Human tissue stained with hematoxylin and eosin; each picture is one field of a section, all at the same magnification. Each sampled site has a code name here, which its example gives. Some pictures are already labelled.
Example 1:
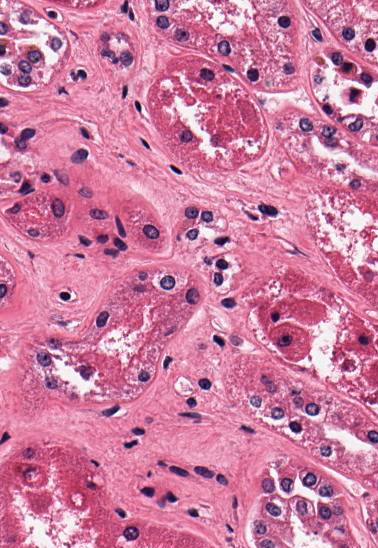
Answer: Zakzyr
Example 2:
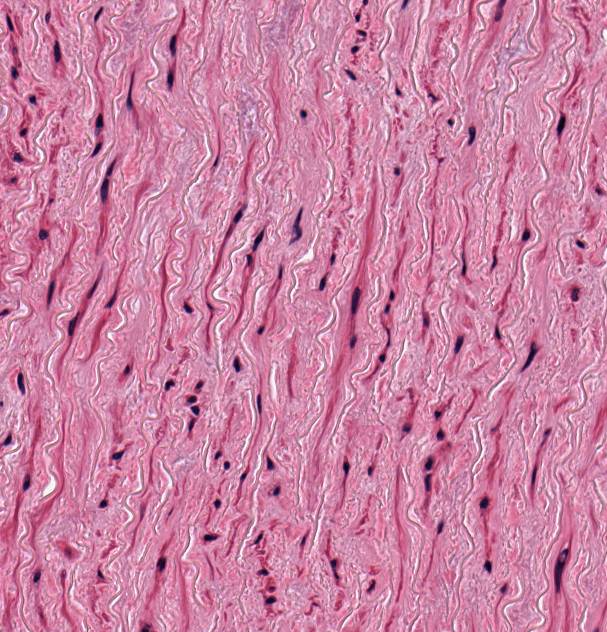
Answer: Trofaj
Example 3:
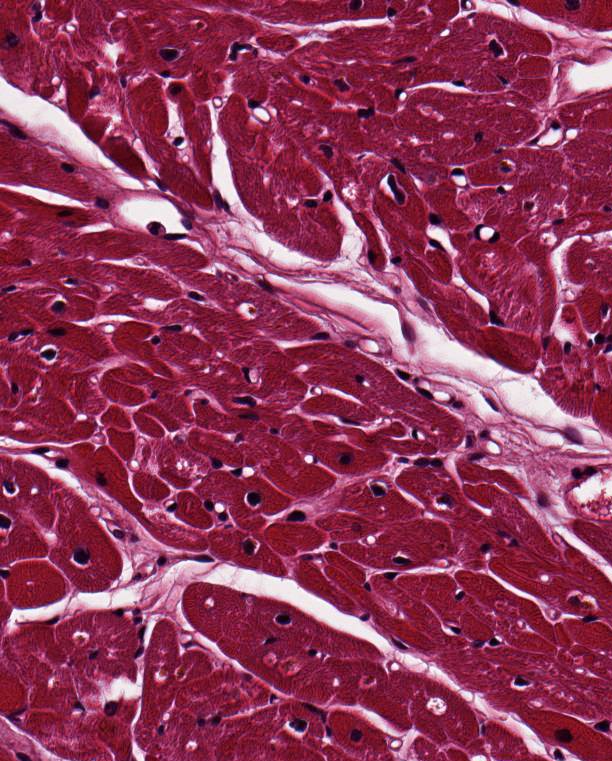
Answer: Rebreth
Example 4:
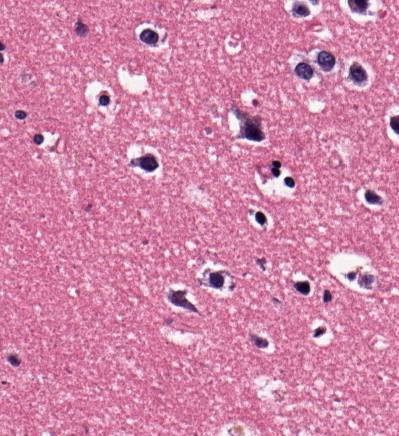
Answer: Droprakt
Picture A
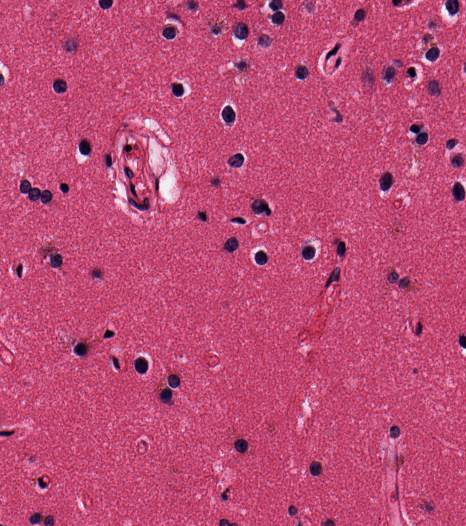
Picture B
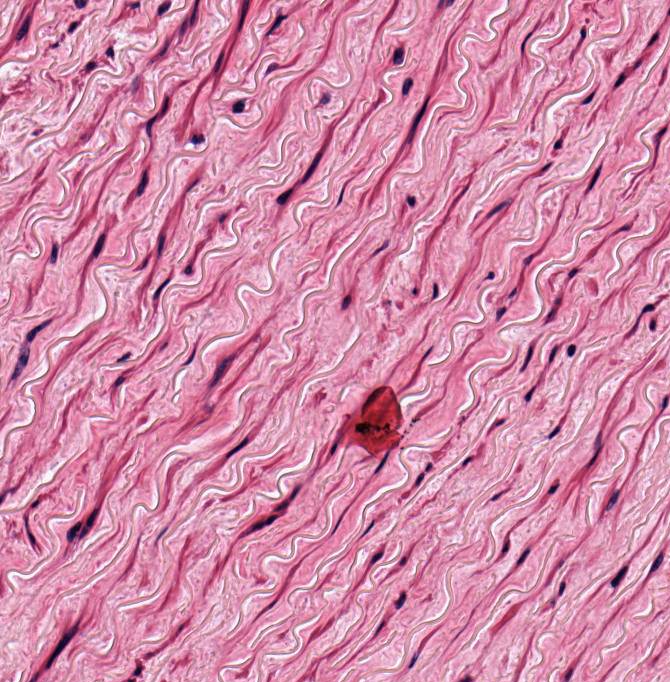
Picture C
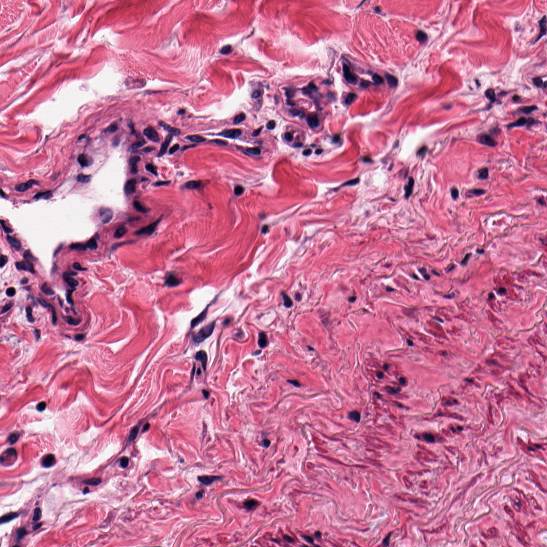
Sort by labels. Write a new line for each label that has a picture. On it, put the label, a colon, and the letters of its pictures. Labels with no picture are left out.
Trofaj: B, C
Droprakt: A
